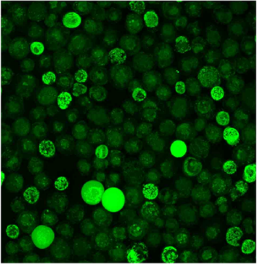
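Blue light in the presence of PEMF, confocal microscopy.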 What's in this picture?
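Nearly every cell is round and gives off some green light, so the outlines of most cells can be followed. The brightness differs much from cell to cell: many are dim, while a fair number shine brightly. Some bright cells are evenly filled with green and look like smooth spheres, a few of them larger than their neighbours. Other cells show a speckled or granular green pattern within them.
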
